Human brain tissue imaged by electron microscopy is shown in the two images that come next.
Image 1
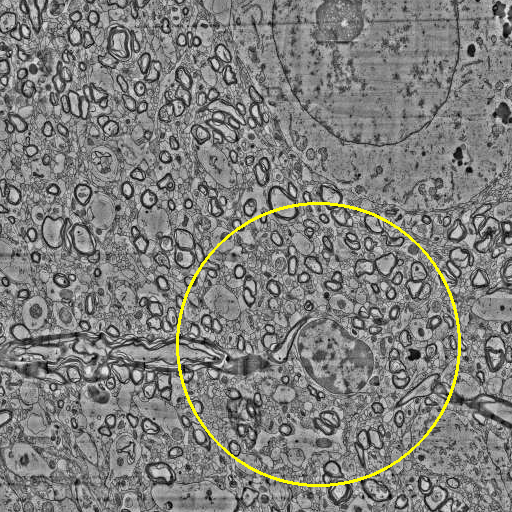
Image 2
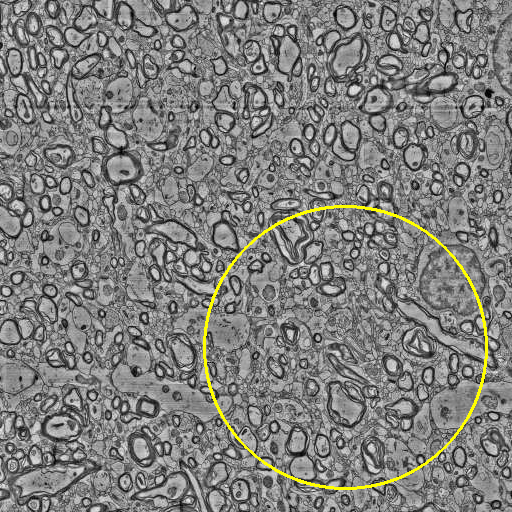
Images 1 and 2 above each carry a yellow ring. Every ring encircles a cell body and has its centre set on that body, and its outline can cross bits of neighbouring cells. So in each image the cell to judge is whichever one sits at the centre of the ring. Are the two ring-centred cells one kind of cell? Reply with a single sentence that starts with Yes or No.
No, in Image 1 and Image 2 the cells at the centres of their rings fall into two types.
